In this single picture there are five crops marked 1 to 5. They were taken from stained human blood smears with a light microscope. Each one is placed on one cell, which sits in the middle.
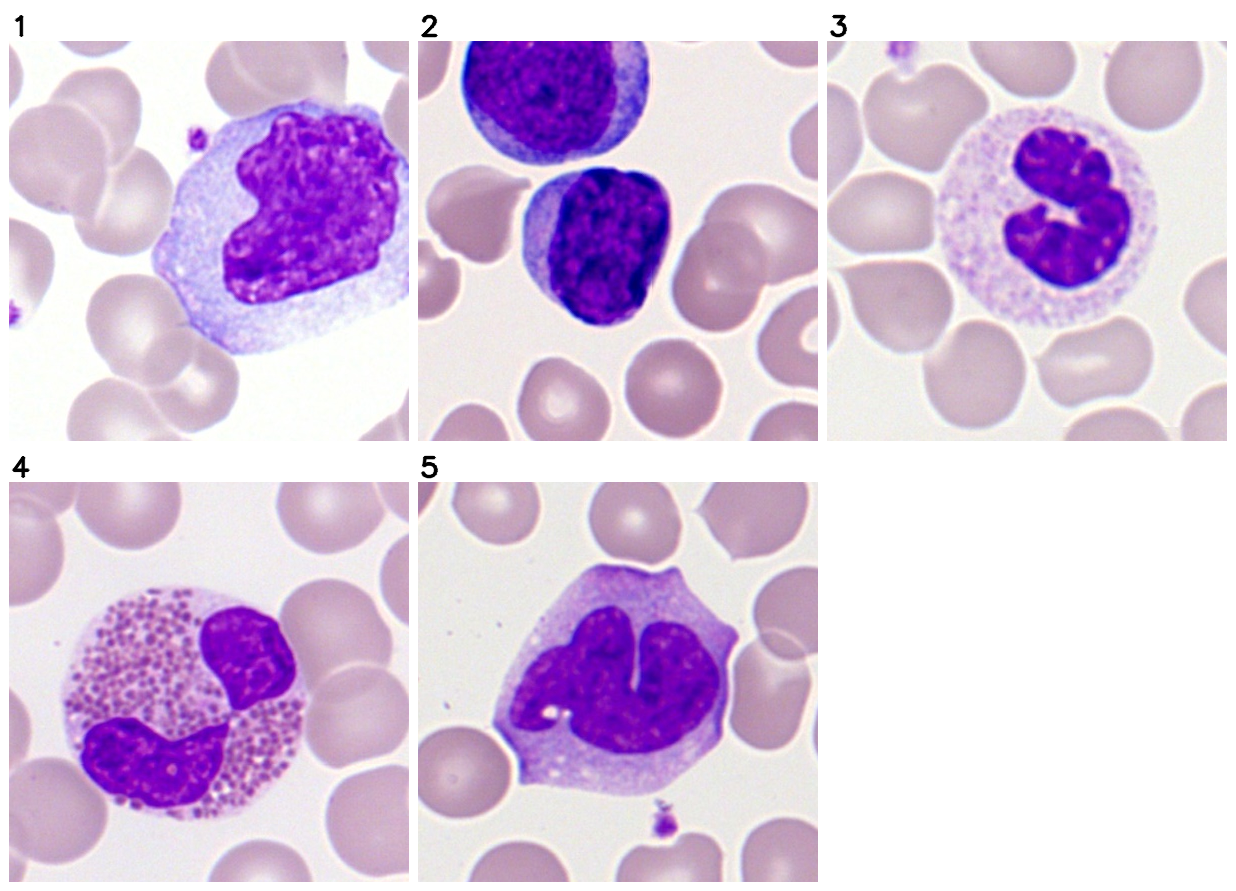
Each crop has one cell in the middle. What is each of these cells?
1: monocyte
2: blast
3: band neutrophil
4: eosinophil
5: monocyte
